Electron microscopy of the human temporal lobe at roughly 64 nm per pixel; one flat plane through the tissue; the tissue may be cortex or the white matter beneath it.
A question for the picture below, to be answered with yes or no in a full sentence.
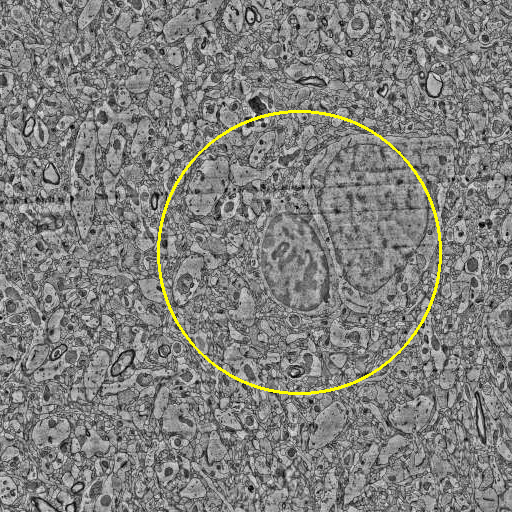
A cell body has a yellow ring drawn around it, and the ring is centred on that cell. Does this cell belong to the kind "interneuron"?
No, the pictured cell at the ring's centre belongs to another kind.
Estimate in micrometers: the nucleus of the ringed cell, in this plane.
About 6 by 4 micrometers in this plane, so the nucleus is clearly longer than it is wide.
